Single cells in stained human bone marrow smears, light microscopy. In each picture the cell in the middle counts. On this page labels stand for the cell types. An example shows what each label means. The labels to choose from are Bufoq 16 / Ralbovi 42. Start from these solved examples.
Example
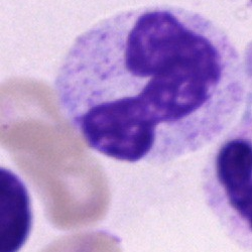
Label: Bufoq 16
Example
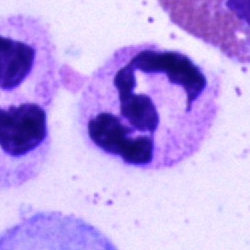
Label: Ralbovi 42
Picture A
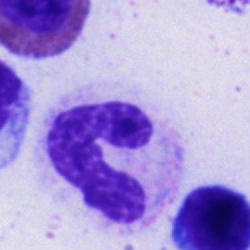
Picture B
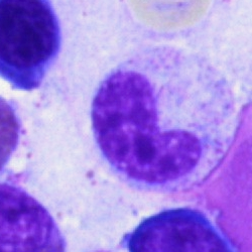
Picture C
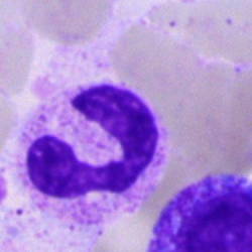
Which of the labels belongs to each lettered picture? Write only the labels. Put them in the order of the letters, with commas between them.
Bufoq 16, Bufoq 16, Bufoq 16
